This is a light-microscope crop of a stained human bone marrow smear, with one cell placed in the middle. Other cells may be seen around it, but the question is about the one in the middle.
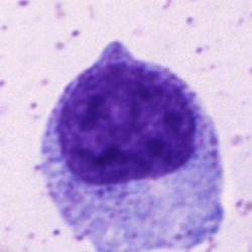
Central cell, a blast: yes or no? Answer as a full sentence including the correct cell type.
No, the cell at the centre is identified as a promyelocyte, not as a blast.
